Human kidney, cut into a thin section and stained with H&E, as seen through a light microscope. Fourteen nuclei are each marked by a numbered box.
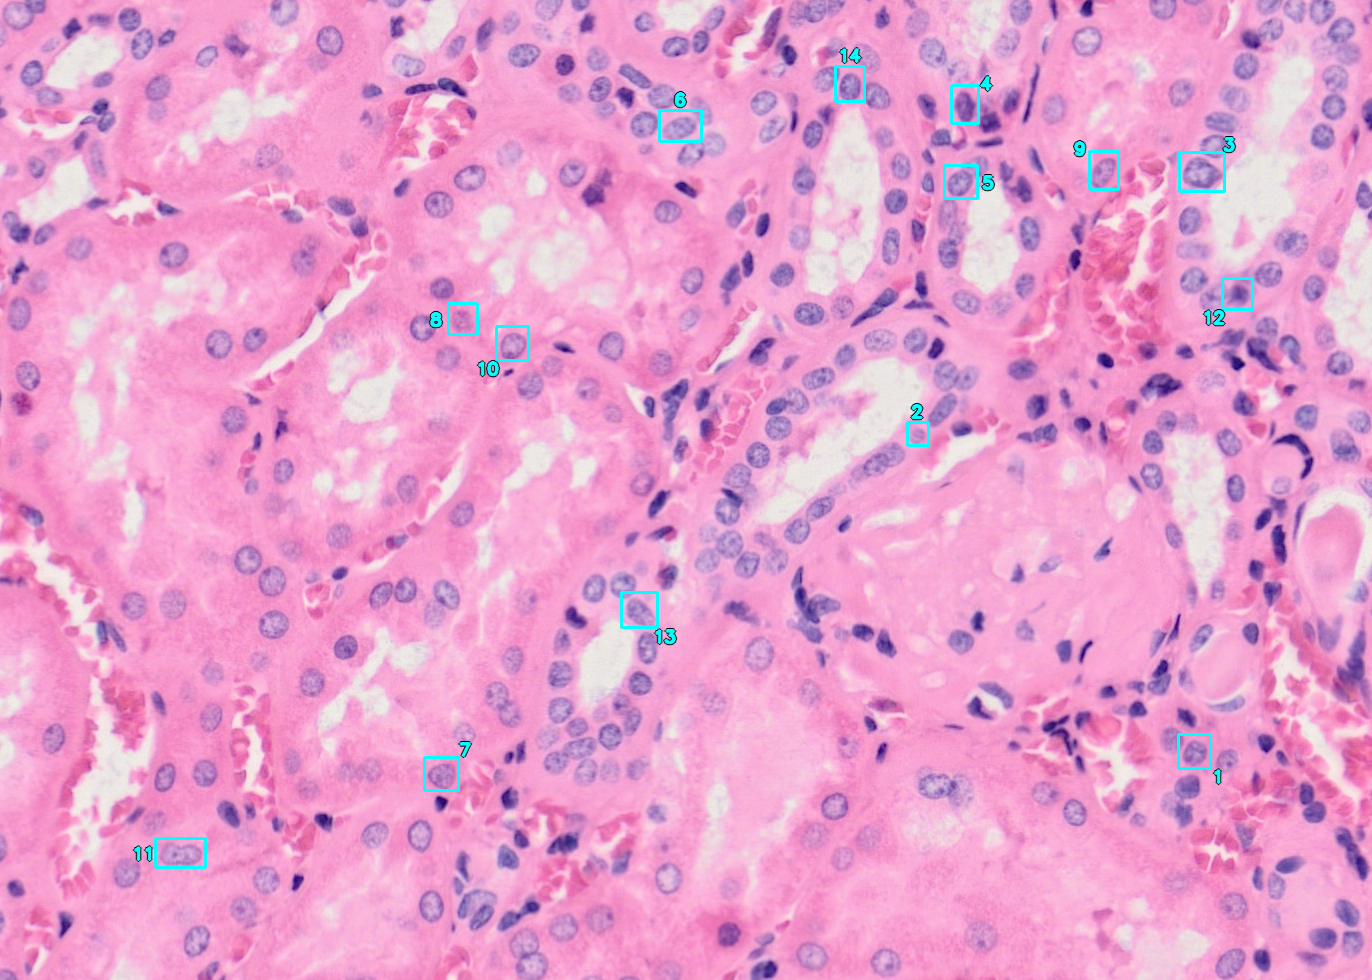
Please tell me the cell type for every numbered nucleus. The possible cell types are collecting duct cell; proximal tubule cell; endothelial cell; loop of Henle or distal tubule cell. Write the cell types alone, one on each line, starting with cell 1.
loop of Henle or distal tubule cell
collecting duct cell
collecting duct cell
collecting duct cell
collecting duct cell
collecting duct cell
proximal tubule cell
proximal tubule cell
proximal tubule cell
proximal tubule cell
proximal tubule cell
collecting duct cell
collecting duct cell
collecting duct cell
